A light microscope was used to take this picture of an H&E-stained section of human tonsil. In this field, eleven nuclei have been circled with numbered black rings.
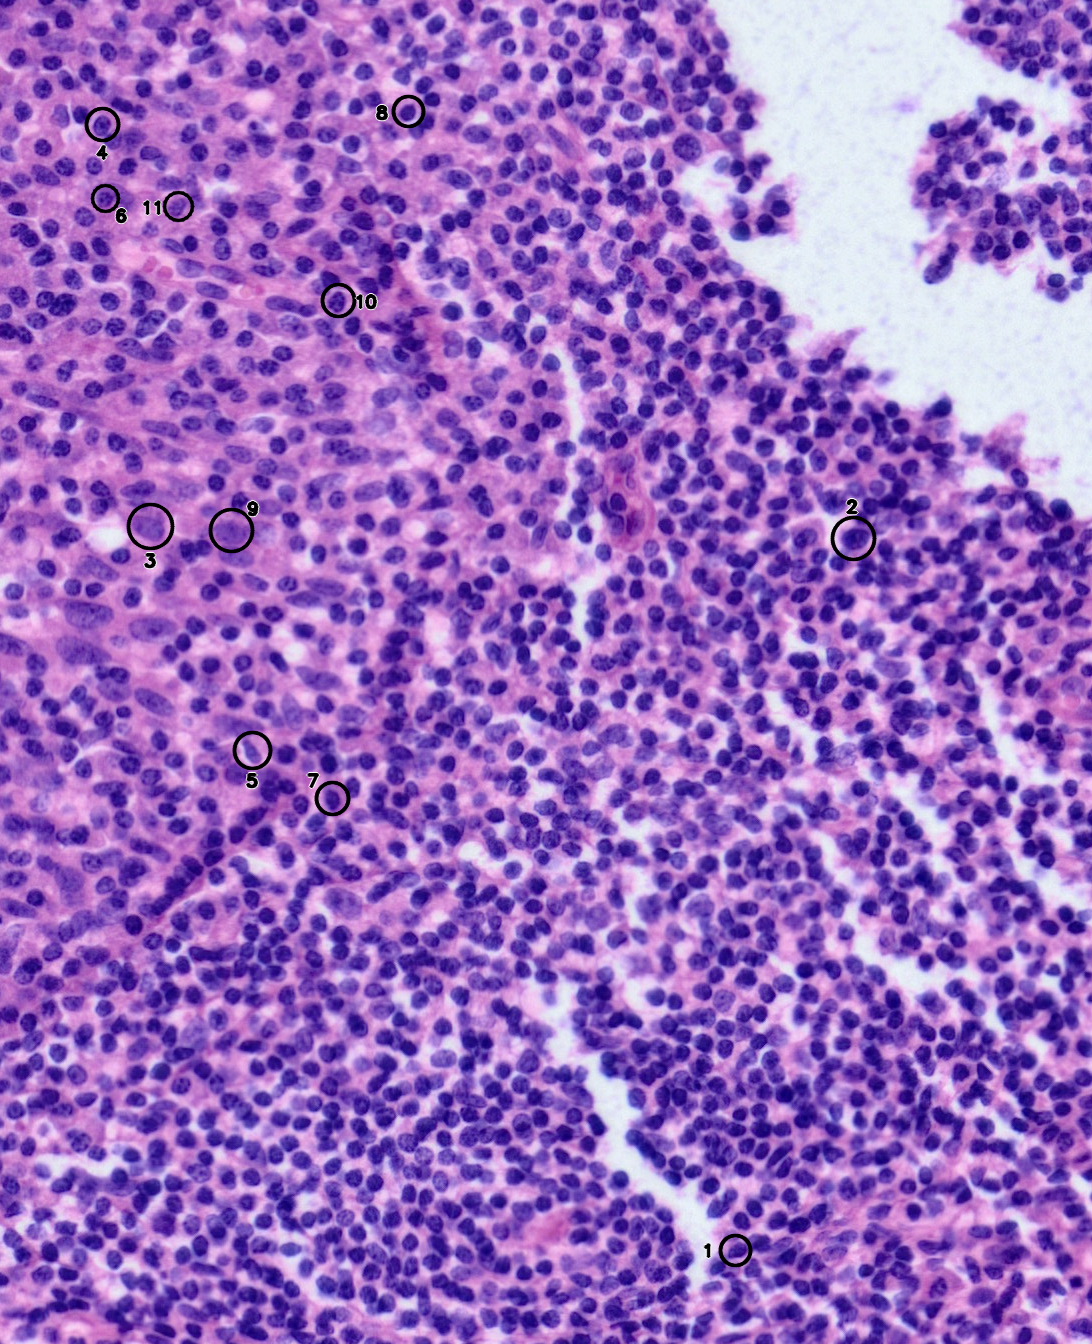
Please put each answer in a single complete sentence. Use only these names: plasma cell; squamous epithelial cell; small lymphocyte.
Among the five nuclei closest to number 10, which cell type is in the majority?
Plasma cells make up most of the five nuclei closest to number 10.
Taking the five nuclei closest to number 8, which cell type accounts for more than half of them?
The majority of the five nuclei closest to number 8 belong to small lymphocytes.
